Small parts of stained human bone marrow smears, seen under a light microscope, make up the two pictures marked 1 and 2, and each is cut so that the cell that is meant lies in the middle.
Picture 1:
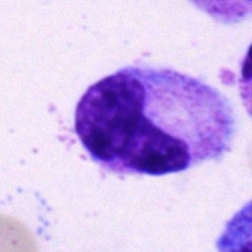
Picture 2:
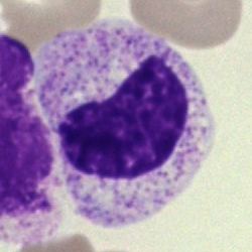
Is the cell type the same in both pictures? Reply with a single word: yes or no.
yes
